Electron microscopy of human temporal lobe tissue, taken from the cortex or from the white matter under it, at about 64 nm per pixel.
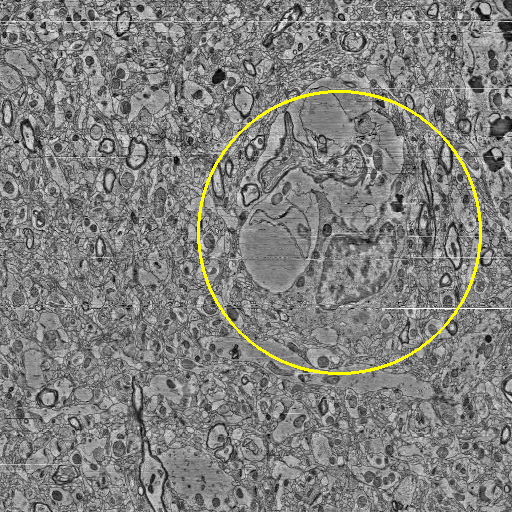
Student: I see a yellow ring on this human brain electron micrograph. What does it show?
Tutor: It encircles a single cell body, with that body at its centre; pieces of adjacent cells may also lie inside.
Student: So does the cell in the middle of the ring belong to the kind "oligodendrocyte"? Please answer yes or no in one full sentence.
Yes, the cell in the middle of that yellow ring belongs to this kind.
